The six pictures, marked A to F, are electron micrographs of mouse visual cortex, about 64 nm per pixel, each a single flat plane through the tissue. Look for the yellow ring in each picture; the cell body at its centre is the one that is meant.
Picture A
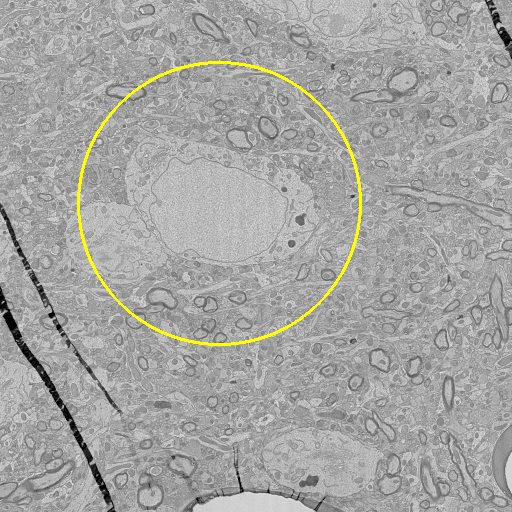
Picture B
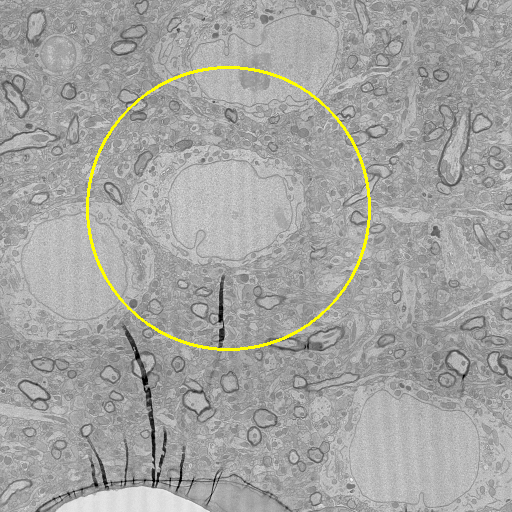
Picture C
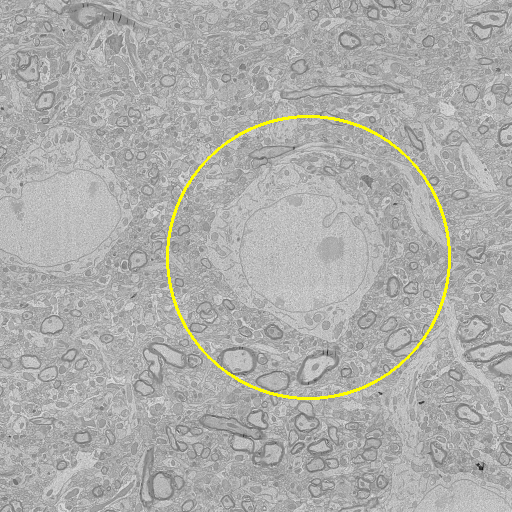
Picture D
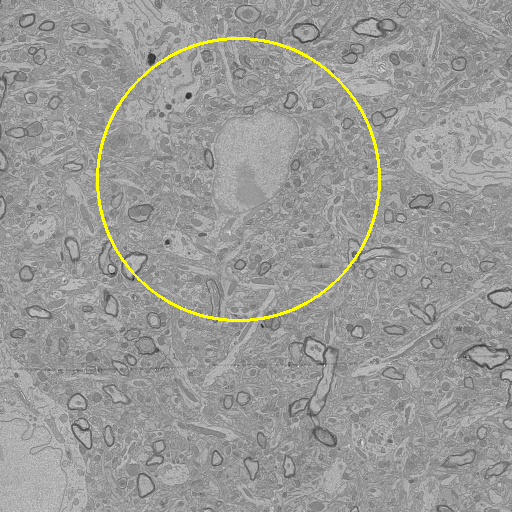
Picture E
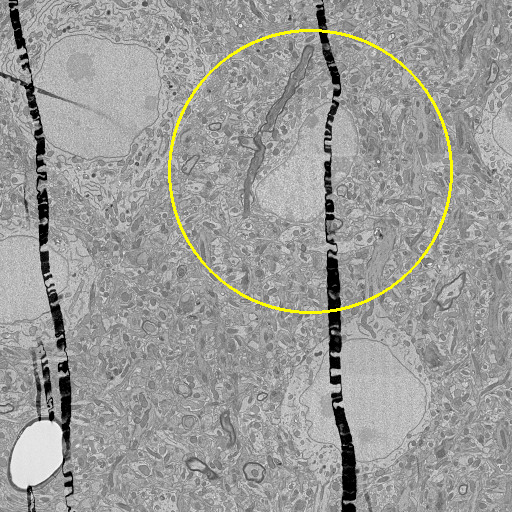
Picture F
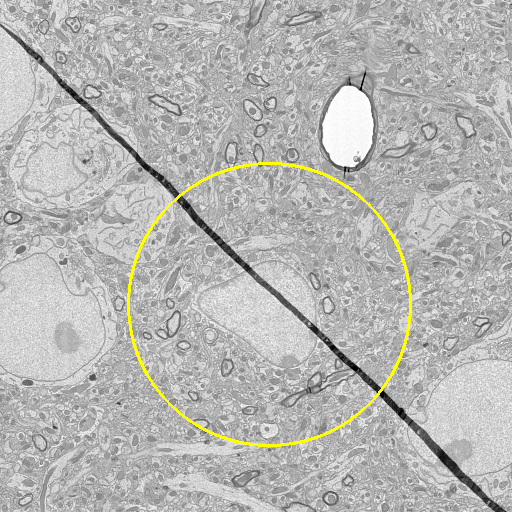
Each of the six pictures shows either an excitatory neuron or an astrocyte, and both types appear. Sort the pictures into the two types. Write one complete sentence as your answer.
Pictures A, B and C show excitatory neurons, and pictures D, E and F show astrocytes.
